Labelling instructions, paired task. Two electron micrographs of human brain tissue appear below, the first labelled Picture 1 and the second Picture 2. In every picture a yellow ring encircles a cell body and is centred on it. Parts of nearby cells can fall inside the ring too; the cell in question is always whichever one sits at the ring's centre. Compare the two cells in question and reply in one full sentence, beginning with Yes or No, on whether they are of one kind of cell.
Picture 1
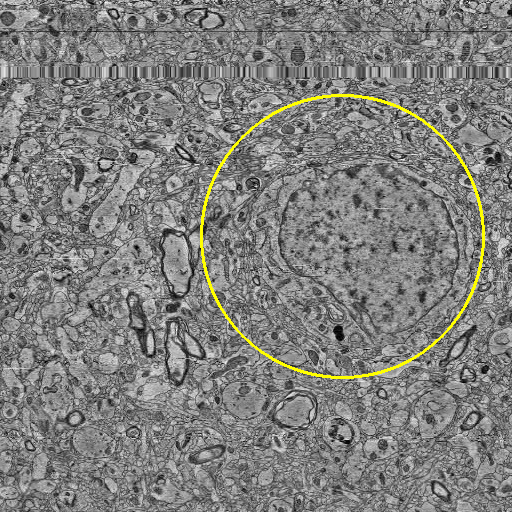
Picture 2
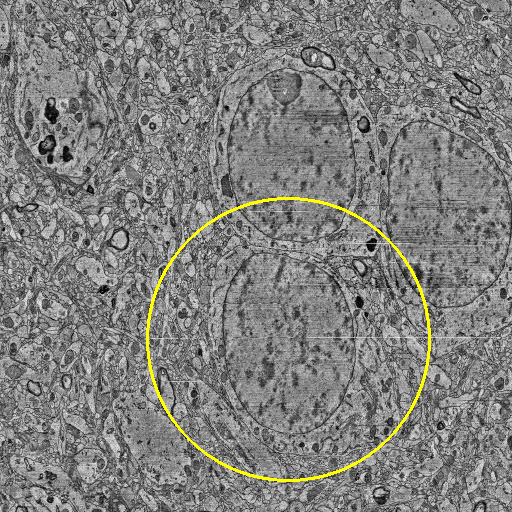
No, the two cells at the ring centres in Picture 1 and Picture 2 are of two kinds.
